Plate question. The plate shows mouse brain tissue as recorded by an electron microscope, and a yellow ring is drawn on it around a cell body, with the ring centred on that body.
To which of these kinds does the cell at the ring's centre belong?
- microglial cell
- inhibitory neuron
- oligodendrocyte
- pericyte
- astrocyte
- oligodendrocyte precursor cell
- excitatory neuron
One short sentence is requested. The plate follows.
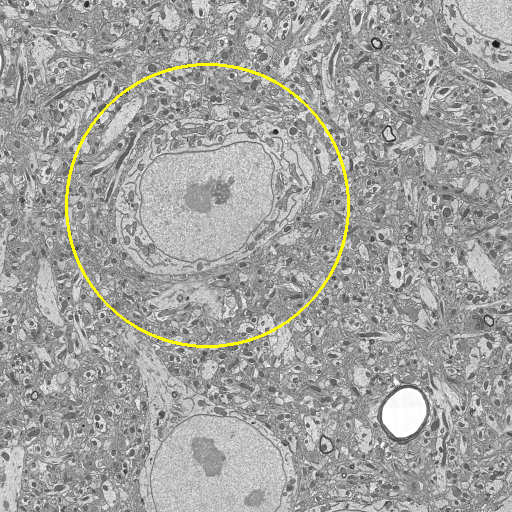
The cell at the ring's centre is an inhibitory neuron.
